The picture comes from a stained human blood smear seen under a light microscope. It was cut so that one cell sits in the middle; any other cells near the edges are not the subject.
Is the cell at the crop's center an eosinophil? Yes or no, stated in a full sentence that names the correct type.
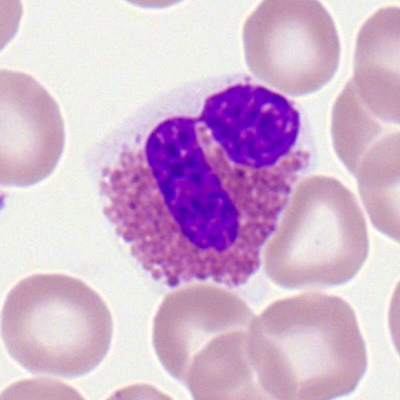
Yes, the cell located at the center is an eosinophil.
